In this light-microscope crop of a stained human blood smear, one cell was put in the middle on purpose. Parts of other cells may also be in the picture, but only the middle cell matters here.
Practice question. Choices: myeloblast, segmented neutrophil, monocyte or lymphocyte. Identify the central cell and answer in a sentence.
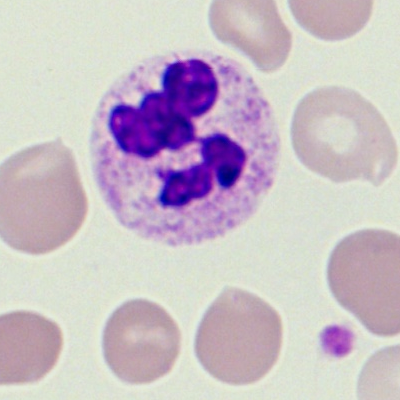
In the centre of this crop there is a segmented neutrophil.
